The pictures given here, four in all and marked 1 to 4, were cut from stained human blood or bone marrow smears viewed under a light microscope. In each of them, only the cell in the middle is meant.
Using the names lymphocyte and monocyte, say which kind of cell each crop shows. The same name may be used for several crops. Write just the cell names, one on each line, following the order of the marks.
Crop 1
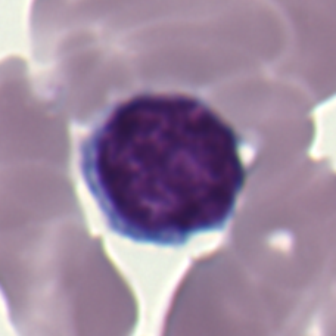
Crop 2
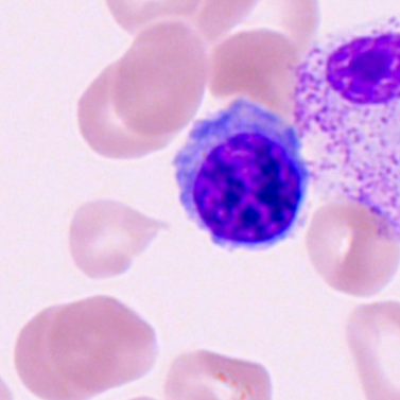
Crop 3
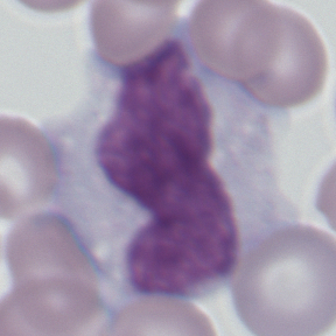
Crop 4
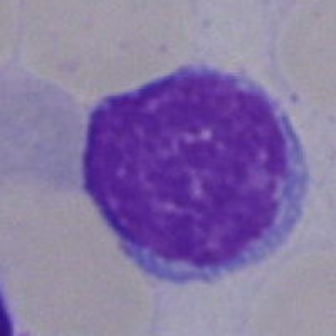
lymphocyte
lymphocyte
monocyte
lymphocyte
